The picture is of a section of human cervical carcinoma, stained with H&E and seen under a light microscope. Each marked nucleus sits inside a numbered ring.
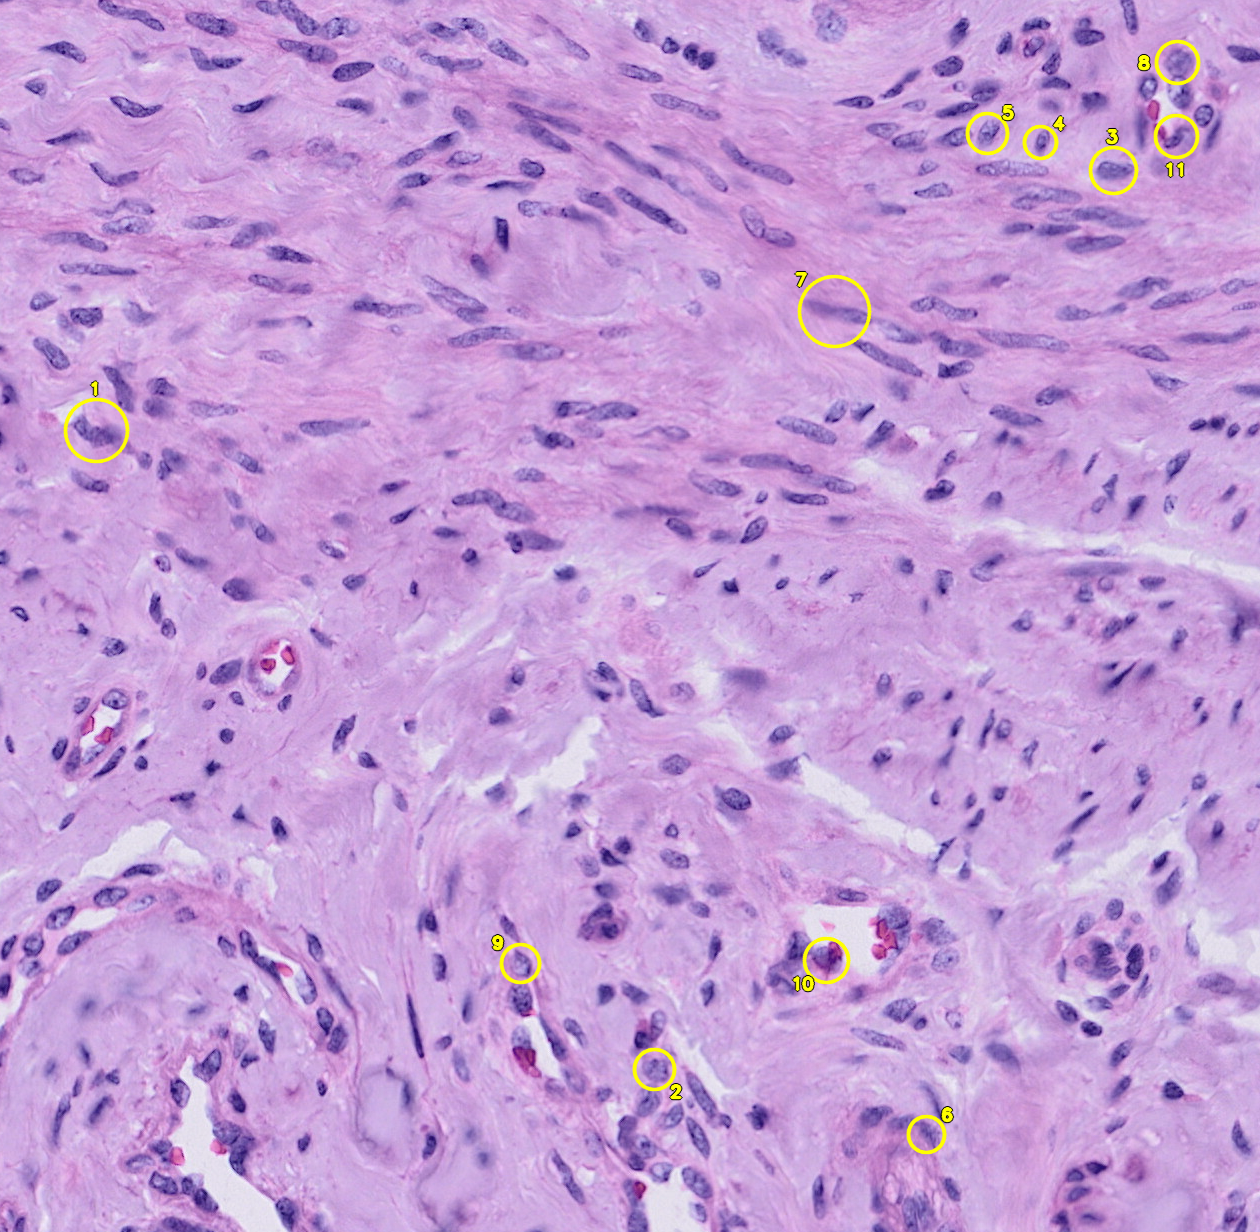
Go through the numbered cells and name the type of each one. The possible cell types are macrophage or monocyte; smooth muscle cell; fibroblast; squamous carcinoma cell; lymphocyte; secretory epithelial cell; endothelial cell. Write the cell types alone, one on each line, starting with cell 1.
fibroblast
endothelial cell
fibroblast
smooth muscle cell
smooth muscle cell
smooth muscle cell
fibroblast
endothelial cell
endothelial cell
endothelial cell
endothelial cell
